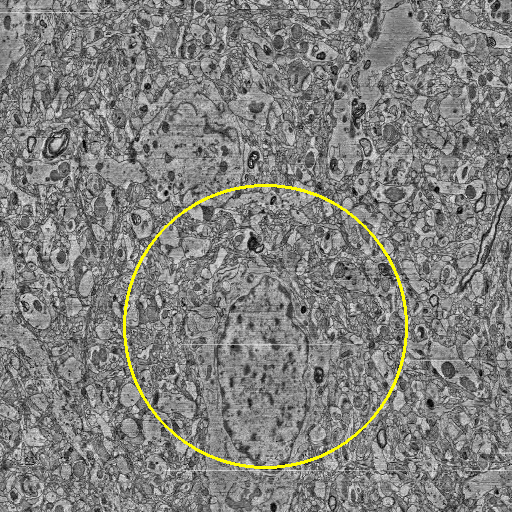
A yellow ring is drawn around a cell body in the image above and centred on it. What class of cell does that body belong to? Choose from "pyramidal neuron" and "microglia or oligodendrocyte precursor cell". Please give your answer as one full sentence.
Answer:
The yellow ring above is centred on the cell body of a microglial cell or oligodendrocyte precursor cell.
